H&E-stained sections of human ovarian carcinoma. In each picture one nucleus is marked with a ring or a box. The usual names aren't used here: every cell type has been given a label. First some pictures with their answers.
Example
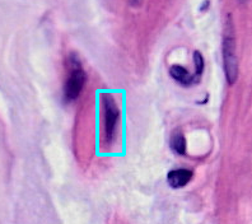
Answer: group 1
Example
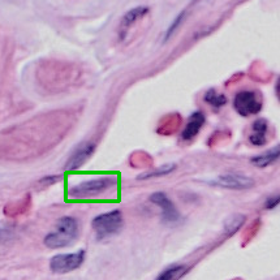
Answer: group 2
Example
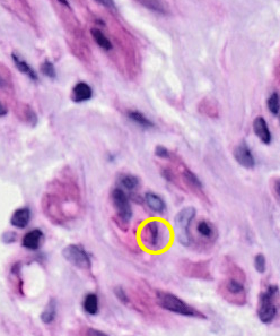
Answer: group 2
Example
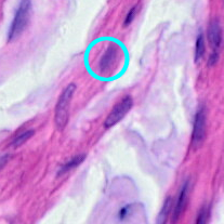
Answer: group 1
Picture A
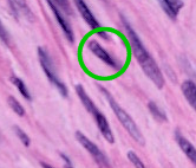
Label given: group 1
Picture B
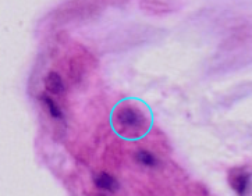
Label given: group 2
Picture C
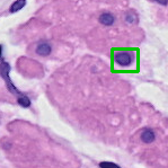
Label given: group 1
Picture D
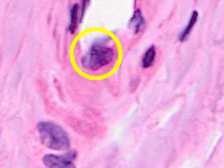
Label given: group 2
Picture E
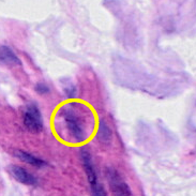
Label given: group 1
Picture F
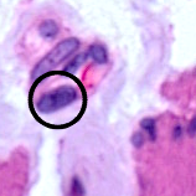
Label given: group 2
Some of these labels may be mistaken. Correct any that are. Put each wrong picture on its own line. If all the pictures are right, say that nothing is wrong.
B should be group 1, not group 2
